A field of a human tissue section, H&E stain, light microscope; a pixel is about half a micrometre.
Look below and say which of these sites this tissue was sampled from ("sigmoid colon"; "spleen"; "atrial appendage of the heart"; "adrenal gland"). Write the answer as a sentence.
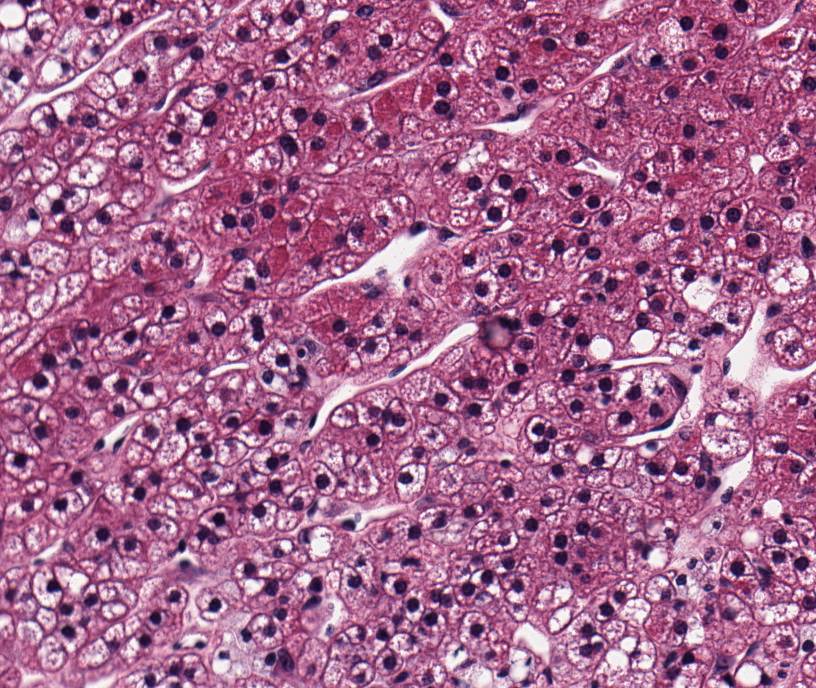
The site this tissue was sampled from is the adrenal gland.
